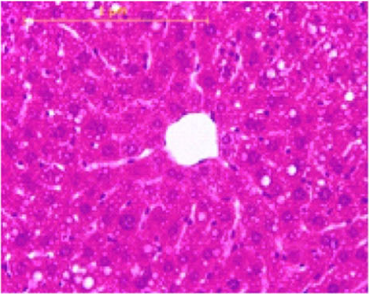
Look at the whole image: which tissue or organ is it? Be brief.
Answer: Liver.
